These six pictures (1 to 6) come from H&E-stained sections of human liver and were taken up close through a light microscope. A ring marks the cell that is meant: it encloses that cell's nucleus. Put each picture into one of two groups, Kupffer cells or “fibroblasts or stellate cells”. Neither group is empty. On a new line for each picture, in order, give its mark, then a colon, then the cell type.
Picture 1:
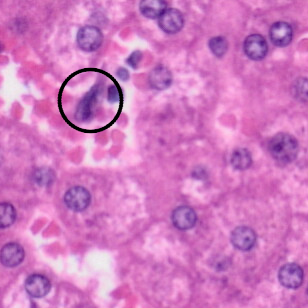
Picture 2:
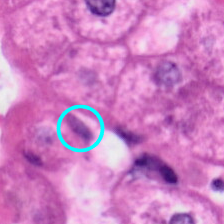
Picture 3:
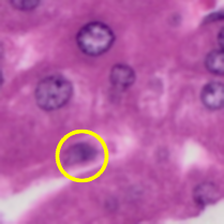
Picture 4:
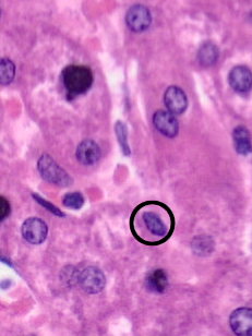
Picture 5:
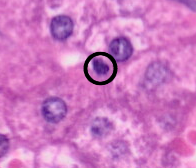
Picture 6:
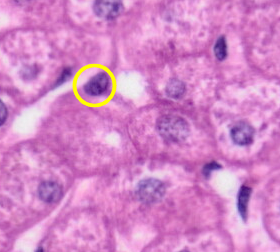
1: Kupffer cell
2: Kupffer cell
3: Kupffer cell
4: fibroblast or stellate cell
5: fibroblast or stellate cell
6: Kupffer cell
